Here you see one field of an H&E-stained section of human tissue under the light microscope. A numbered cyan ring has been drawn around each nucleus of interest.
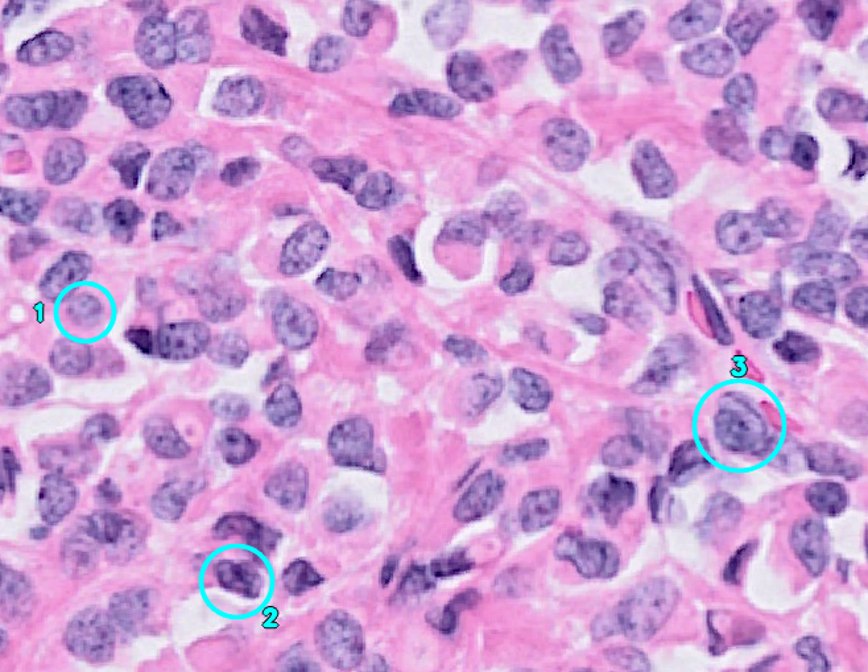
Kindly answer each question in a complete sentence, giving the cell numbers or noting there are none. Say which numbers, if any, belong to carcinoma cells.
On this slide, the cells numbered 1 and 2 are carcinoma cells.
